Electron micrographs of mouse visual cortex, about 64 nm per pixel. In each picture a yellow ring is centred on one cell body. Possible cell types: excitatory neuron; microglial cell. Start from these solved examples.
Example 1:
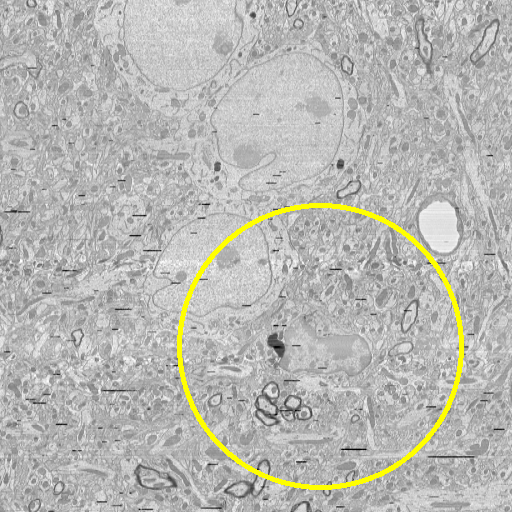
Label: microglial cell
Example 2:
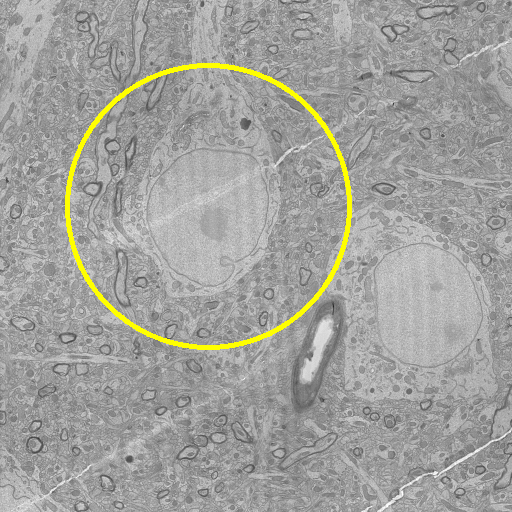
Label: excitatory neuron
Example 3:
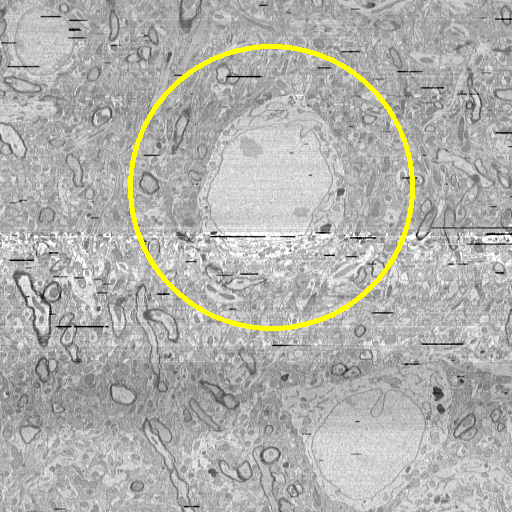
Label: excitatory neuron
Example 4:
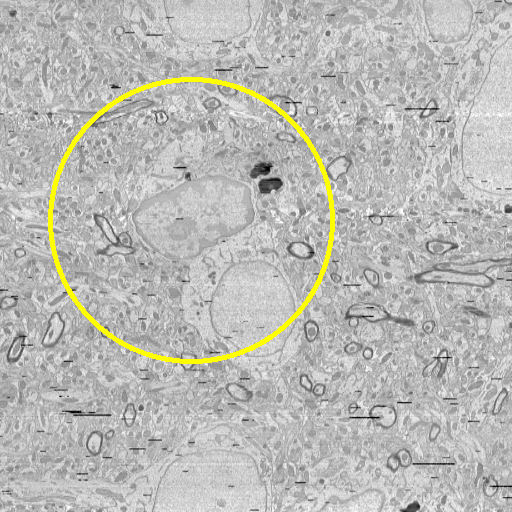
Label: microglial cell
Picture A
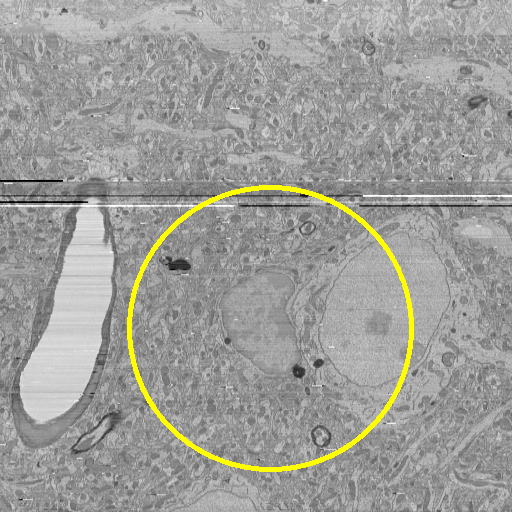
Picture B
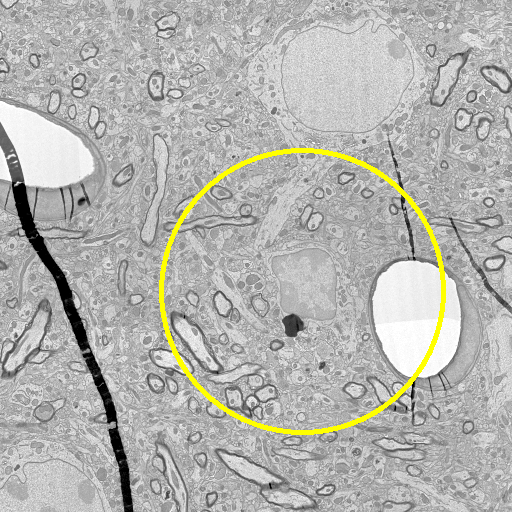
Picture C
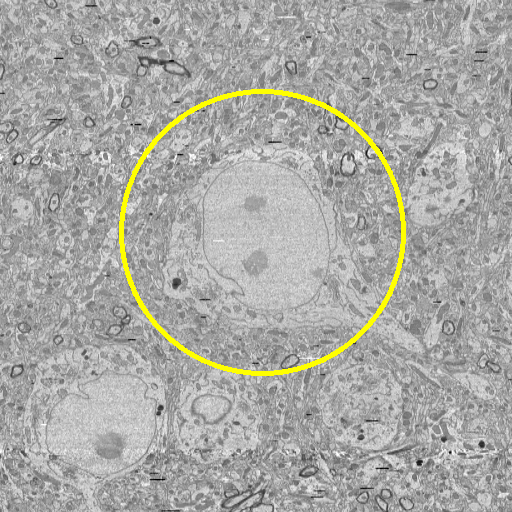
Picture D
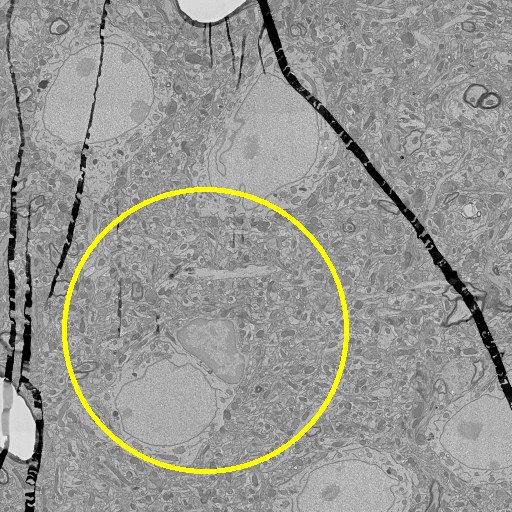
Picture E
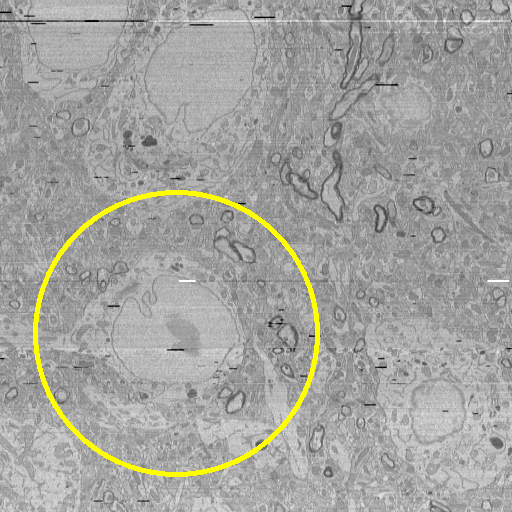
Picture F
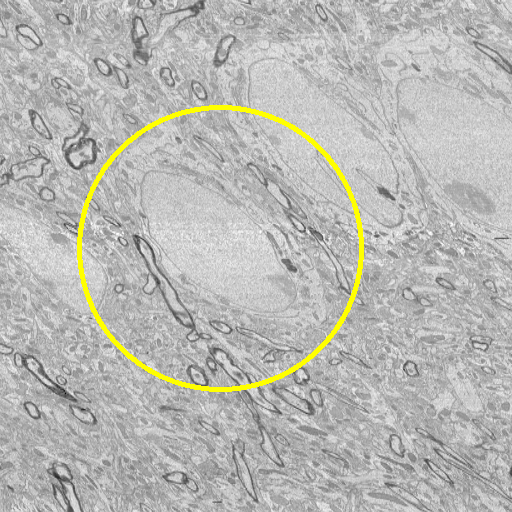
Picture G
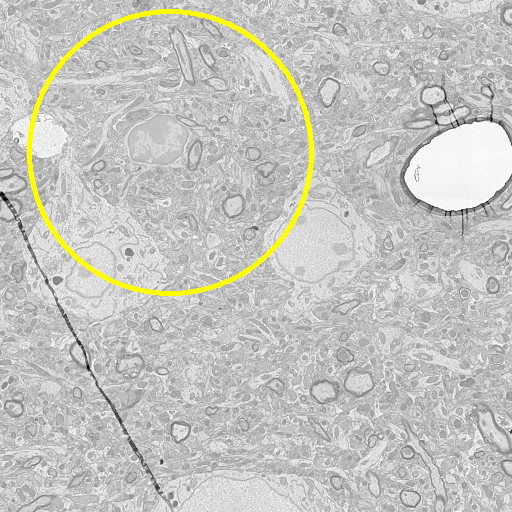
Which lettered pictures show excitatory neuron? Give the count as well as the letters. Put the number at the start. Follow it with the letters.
Count: 3 (C, E, F)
